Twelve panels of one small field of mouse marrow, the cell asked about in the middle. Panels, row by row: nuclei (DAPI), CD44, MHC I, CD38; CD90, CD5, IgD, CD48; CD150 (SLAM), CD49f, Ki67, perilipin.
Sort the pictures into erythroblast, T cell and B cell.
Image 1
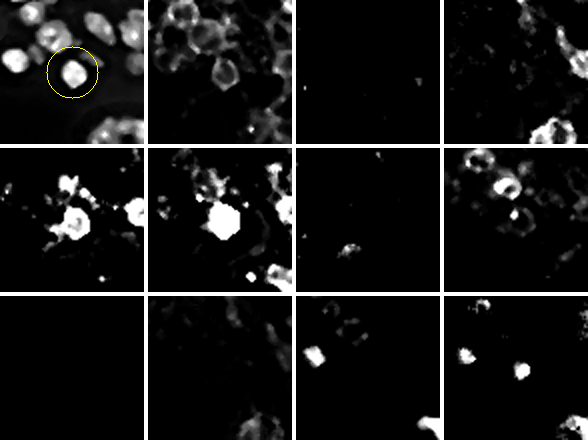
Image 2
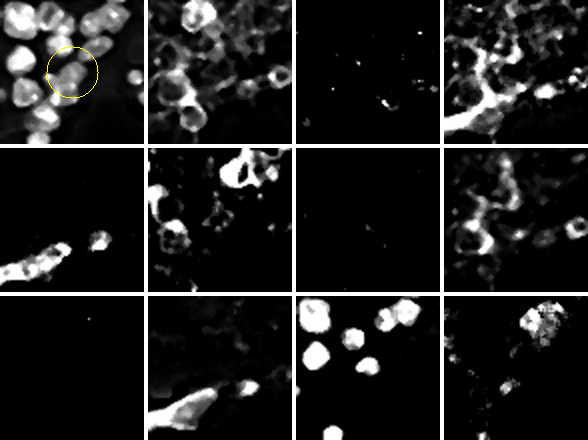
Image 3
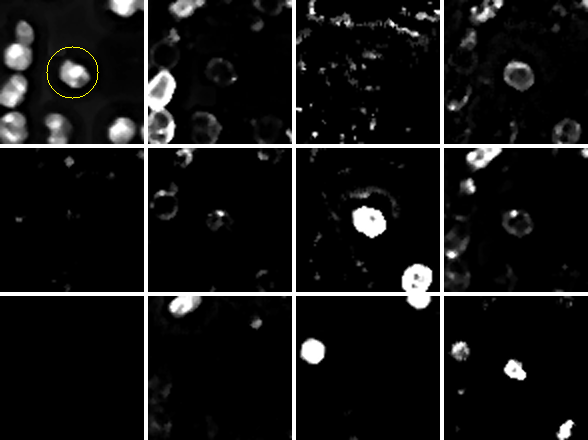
T cells: 1
Erythroblasts: 2
B cells: 3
